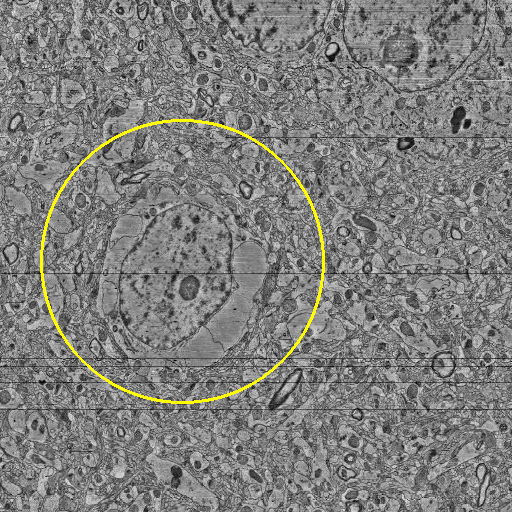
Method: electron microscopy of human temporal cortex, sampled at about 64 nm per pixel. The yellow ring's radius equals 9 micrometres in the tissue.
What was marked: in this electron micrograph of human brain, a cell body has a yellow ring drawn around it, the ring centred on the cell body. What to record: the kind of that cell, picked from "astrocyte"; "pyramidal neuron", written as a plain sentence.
The centred cell is an astrocyte.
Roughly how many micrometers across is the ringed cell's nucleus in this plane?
The ringed cell's nucleus is about 10 micrometres long and 7 micrometres wide in this plane.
